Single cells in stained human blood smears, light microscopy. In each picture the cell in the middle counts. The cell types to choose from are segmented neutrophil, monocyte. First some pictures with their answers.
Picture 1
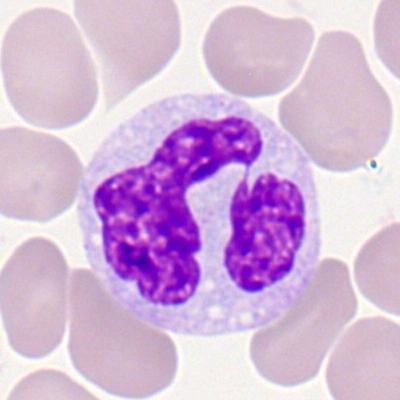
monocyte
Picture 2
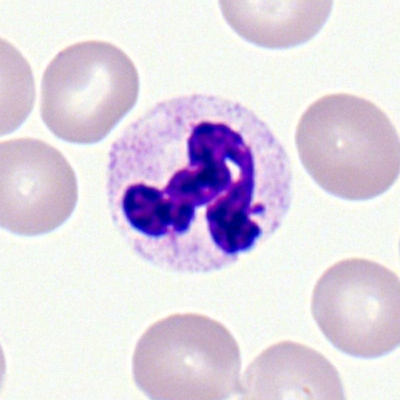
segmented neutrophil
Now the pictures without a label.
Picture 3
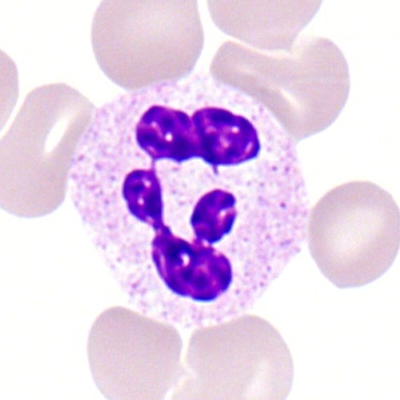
segmented neutrophil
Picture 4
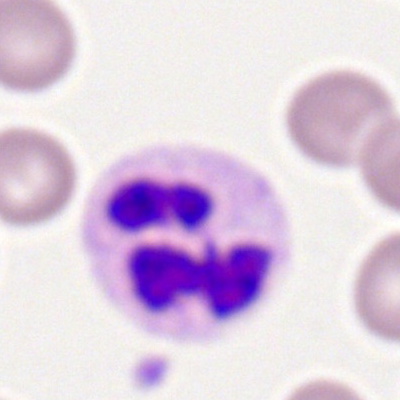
segmented neutrophil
